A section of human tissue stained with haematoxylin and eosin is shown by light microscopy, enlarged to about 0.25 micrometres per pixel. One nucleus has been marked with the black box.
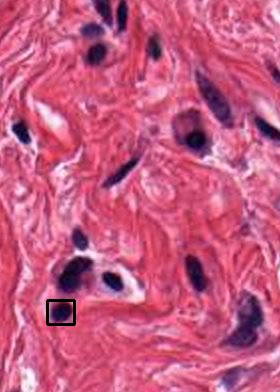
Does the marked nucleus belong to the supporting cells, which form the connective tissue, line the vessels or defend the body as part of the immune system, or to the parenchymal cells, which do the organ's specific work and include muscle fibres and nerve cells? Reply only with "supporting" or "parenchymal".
supporting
